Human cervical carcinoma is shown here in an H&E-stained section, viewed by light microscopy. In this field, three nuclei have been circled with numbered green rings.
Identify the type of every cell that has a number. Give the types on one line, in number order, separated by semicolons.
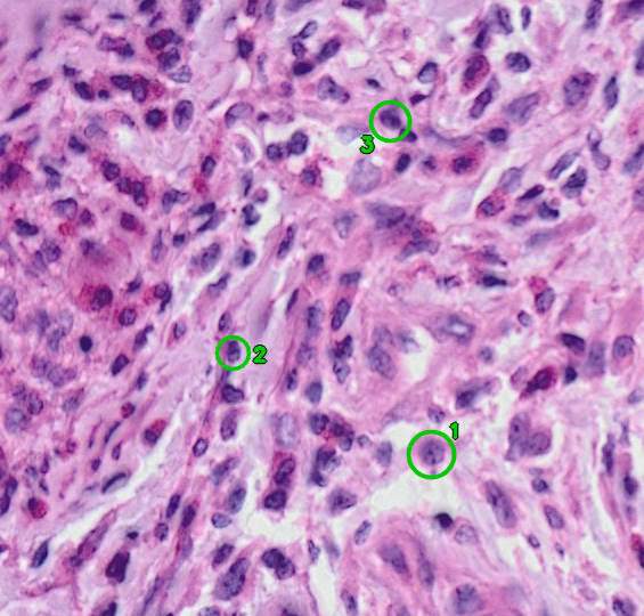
macrophage or monocyte; lymphocyte; lymphocyte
